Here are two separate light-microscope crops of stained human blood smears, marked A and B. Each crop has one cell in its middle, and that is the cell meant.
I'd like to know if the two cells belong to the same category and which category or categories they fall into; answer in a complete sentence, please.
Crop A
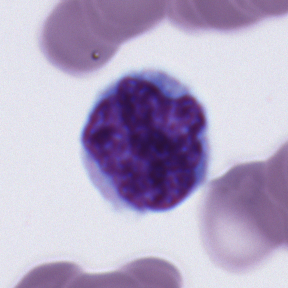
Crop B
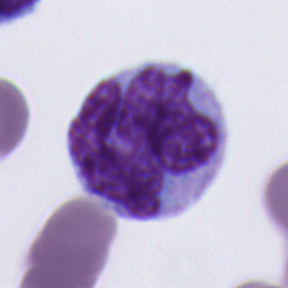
Yes, both crops contain monocytes at their centres.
